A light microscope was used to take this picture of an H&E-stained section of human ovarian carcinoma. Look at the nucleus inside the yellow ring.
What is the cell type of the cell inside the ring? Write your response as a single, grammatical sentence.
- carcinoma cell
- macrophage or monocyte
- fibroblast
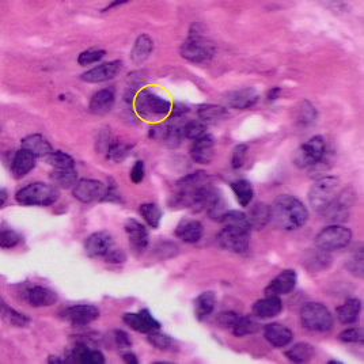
As classified here, the cell inside the ring is a carcinoma cell.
